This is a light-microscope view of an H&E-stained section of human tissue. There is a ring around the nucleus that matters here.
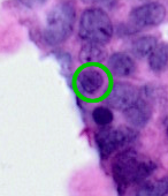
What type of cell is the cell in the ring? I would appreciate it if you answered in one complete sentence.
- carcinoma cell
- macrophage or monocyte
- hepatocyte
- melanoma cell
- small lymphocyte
In this preparation, the cell in the ring is a carcinoma cell.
